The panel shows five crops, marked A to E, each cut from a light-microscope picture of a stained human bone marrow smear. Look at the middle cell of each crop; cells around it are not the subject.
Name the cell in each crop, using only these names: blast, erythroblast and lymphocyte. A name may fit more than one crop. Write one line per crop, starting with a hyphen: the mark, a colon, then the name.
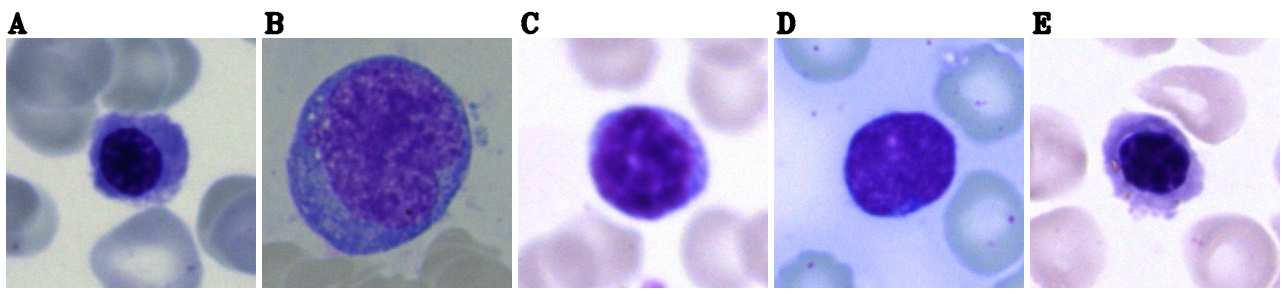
- A: erythroblast
- B: blast
- C: lymphocyte
- D: lymphocyte
- E: erythroblast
